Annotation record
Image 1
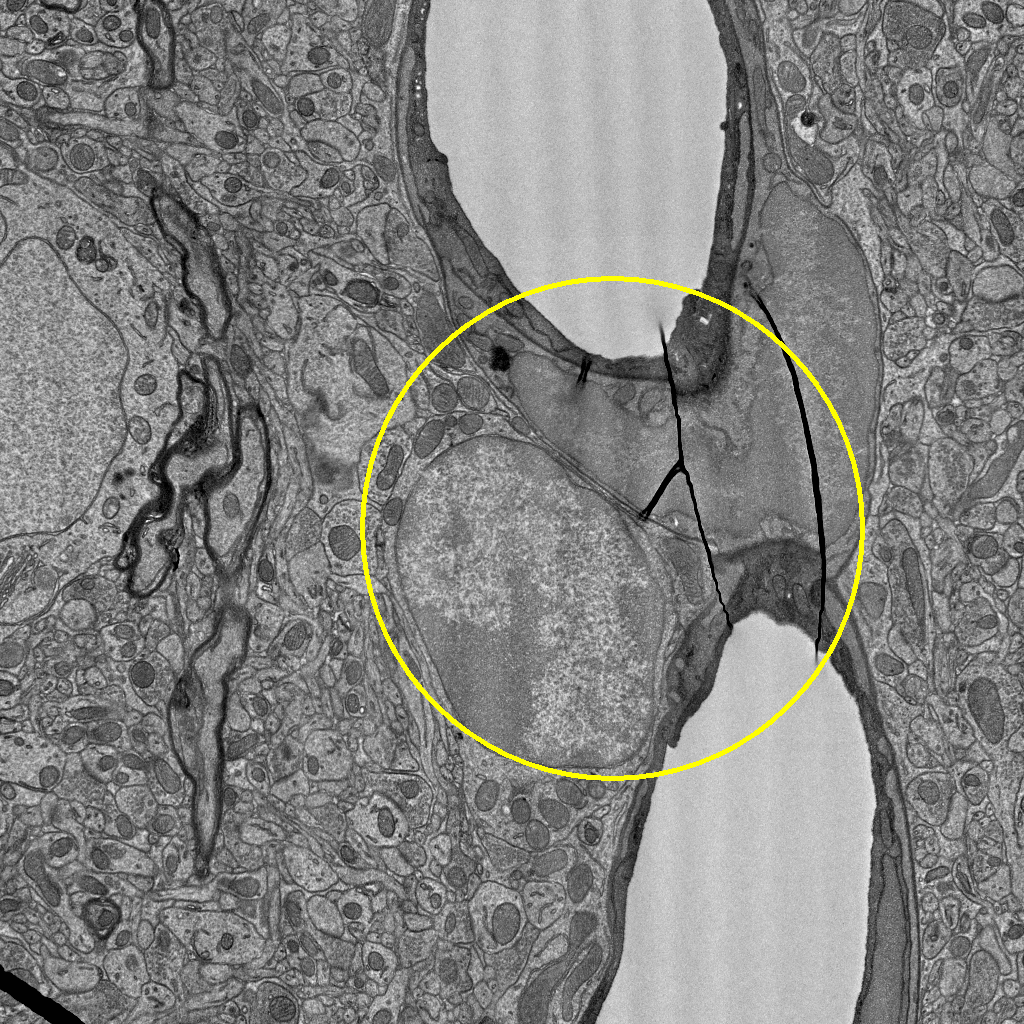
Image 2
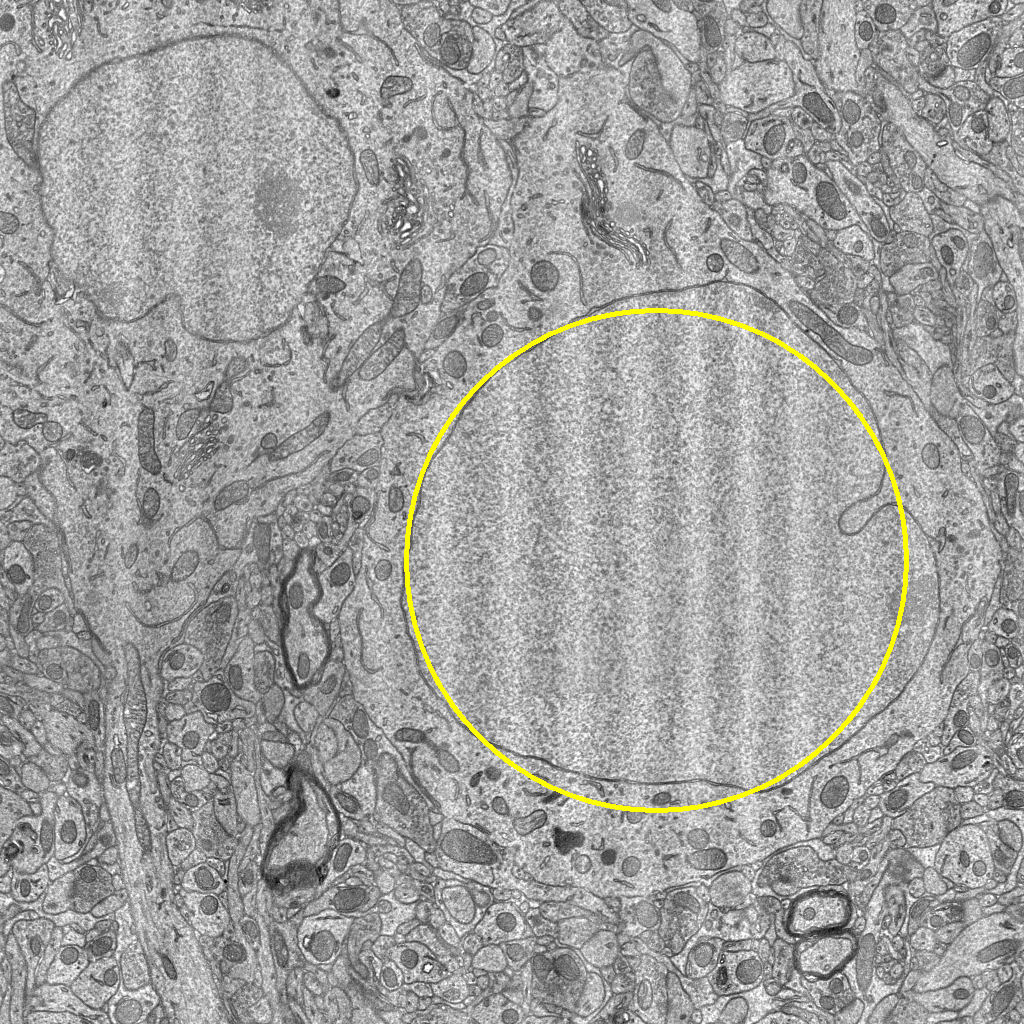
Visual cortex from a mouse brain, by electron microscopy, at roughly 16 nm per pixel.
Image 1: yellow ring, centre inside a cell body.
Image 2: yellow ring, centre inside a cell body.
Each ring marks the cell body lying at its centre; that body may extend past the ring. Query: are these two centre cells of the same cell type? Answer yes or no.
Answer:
no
